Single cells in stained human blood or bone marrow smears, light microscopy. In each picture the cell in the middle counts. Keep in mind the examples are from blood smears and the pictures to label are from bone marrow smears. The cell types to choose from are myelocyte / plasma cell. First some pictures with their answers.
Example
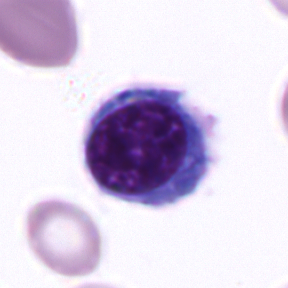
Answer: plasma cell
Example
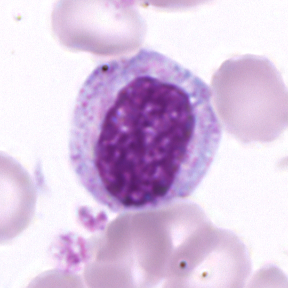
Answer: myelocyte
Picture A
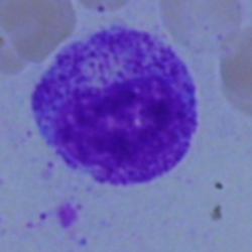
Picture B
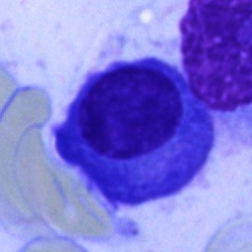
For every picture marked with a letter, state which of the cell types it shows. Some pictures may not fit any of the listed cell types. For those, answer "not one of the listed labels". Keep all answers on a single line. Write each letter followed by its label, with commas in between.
A myelocyte, B plasma cell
